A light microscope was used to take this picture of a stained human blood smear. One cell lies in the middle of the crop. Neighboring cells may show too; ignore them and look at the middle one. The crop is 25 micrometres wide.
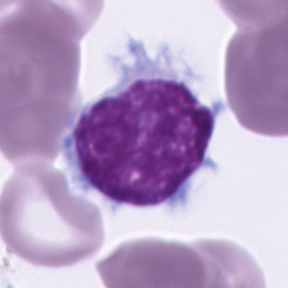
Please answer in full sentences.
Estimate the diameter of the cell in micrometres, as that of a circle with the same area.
The cell is about 13 micrometres across.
